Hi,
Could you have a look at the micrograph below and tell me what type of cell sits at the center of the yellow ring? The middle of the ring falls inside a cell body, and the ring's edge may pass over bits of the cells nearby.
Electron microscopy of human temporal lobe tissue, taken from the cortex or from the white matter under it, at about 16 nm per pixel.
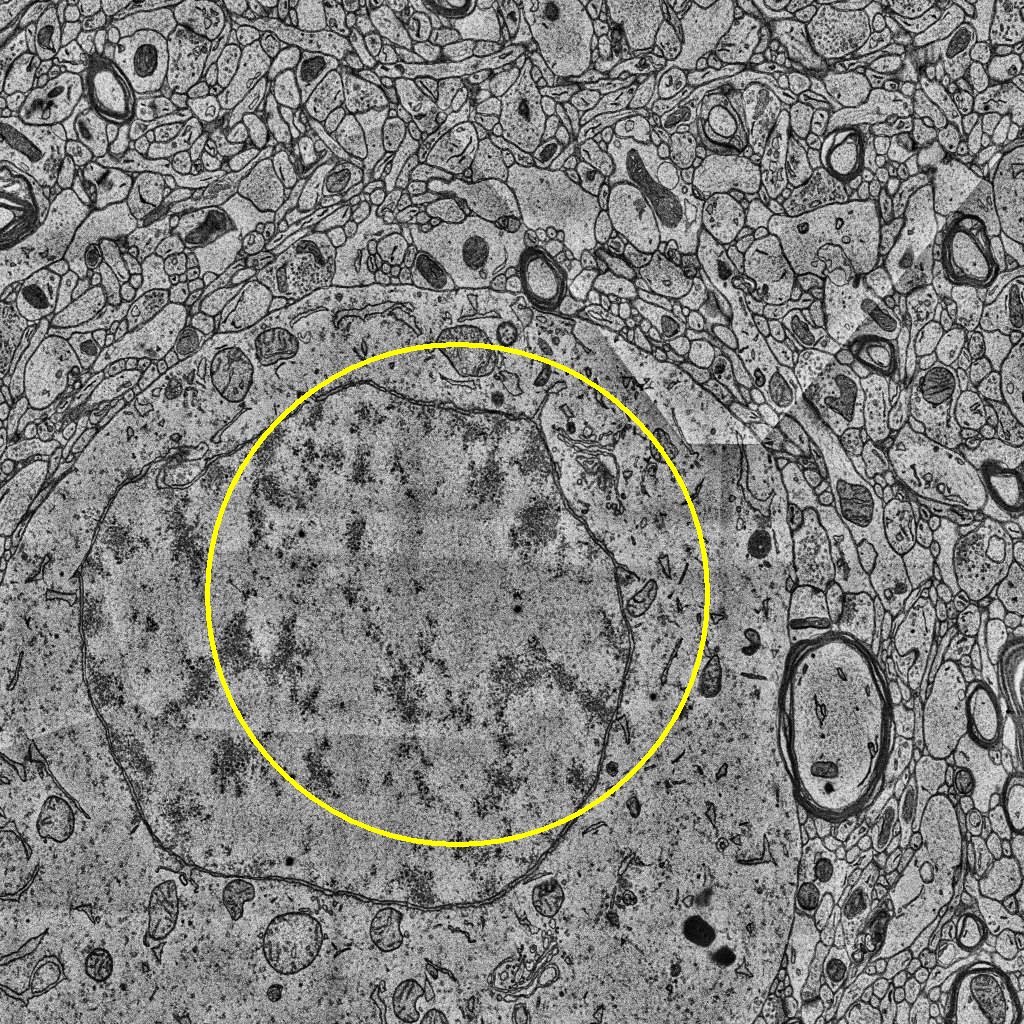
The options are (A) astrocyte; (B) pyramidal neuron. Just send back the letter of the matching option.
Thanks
B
